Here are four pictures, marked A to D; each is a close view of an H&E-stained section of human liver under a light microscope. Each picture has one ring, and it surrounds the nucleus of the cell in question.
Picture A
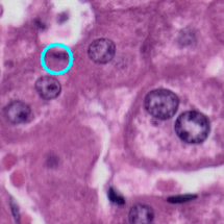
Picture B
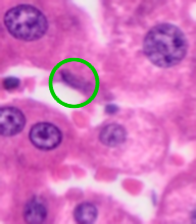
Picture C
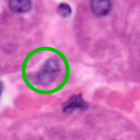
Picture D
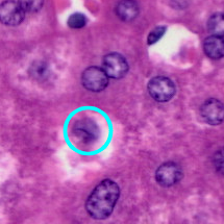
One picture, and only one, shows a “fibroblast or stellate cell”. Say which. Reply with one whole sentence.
Picture A is the one that shows the “fibroblast or stellate cell”.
